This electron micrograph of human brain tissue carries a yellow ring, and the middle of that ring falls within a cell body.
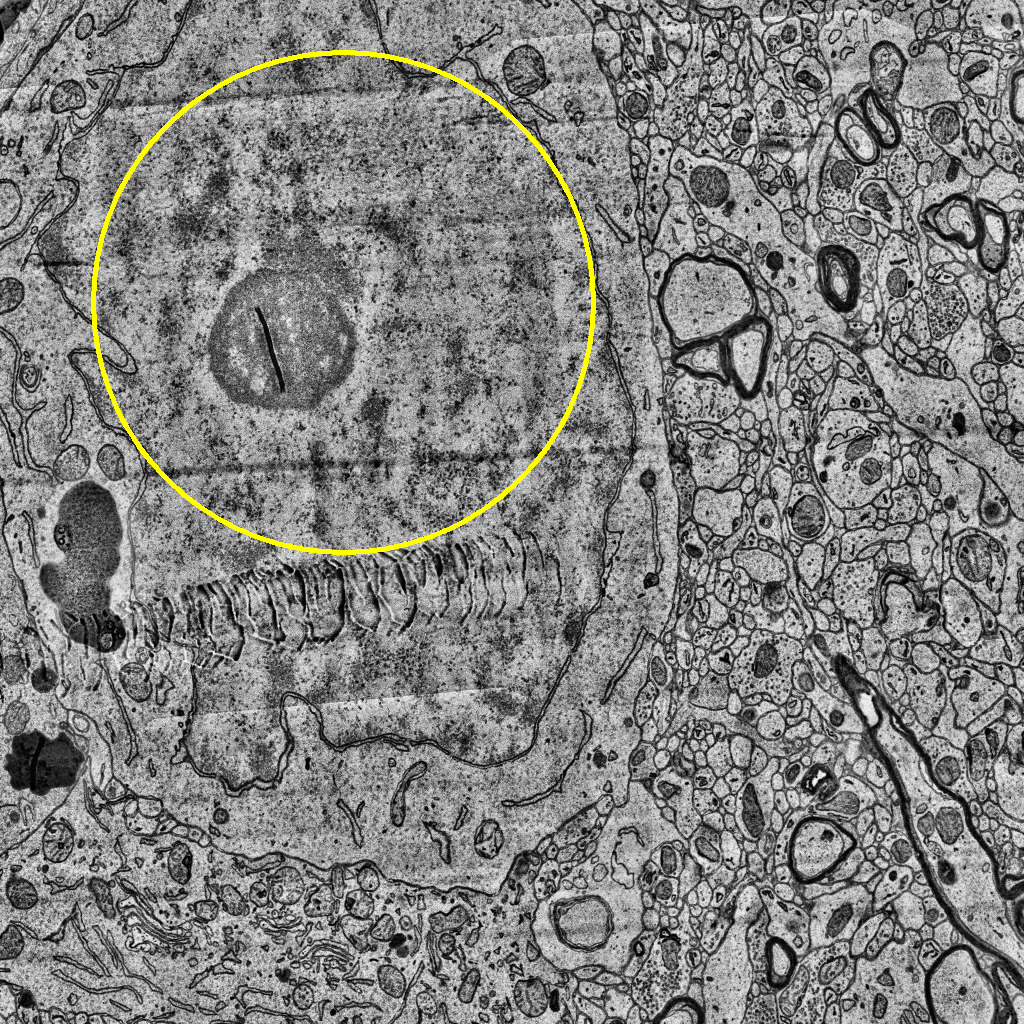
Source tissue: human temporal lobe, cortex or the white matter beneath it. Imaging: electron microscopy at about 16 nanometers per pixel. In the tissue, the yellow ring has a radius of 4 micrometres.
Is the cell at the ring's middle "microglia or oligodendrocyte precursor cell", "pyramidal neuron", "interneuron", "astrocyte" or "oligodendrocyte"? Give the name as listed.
interneuron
